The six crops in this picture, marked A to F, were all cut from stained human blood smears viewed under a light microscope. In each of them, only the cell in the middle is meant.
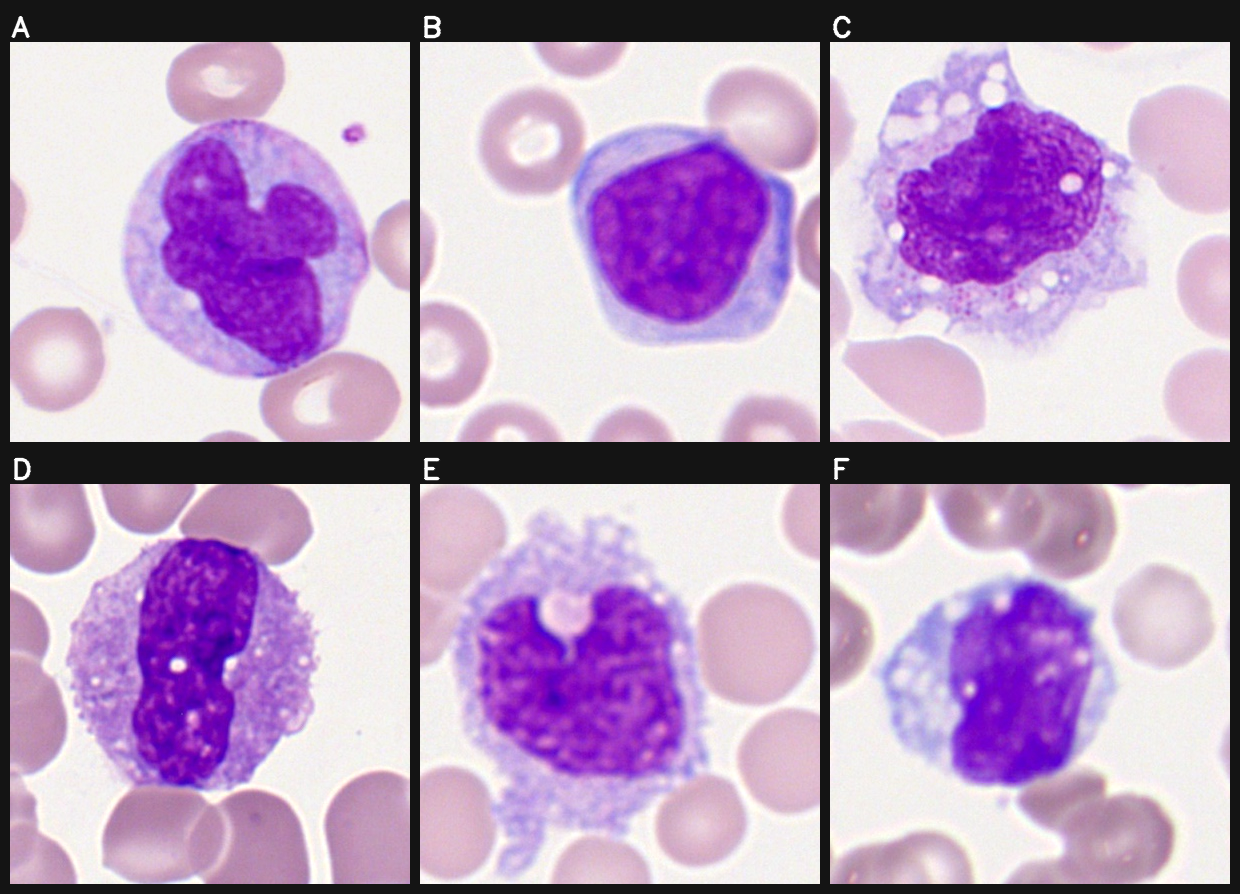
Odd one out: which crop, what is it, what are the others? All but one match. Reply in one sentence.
The exception is crop B, with a myeloblast; the remaining crops all show monocytes.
